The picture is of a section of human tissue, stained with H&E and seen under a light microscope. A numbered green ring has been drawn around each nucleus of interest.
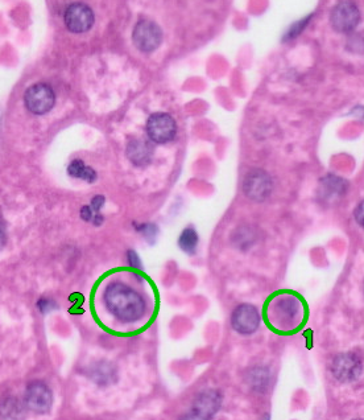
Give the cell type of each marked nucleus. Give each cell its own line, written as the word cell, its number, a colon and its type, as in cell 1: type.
cell 1: Kupffer cell
cell 2: hepatocyte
